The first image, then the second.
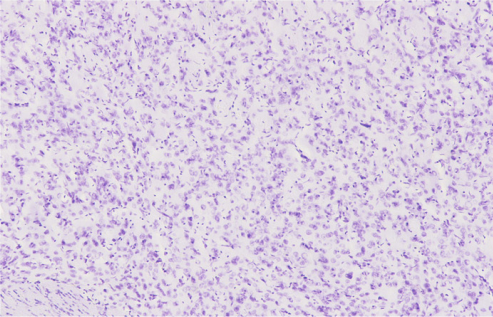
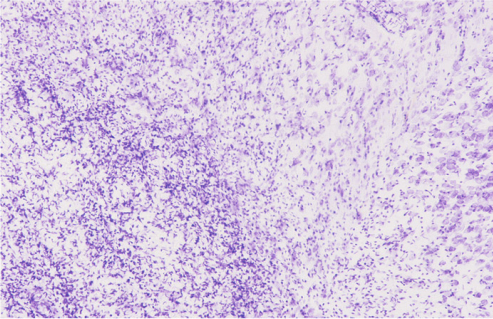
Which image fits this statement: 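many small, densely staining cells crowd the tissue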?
The second image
